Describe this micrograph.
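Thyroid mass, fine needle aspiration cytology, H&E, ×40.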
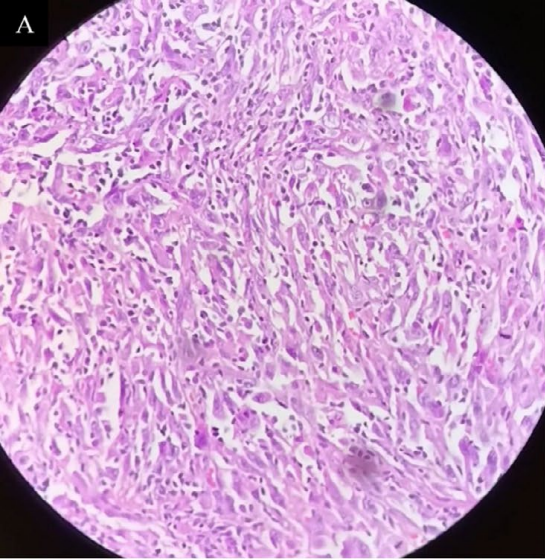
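Tumour of pleomorphic spindle-shaped cells lying in loose, intersecting streams, with clear spaces between them. Nuclei are elongated to oval, dark purple and vary markedly in size and shape; cytoplasm is pink and drawn out at the cell ends.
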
